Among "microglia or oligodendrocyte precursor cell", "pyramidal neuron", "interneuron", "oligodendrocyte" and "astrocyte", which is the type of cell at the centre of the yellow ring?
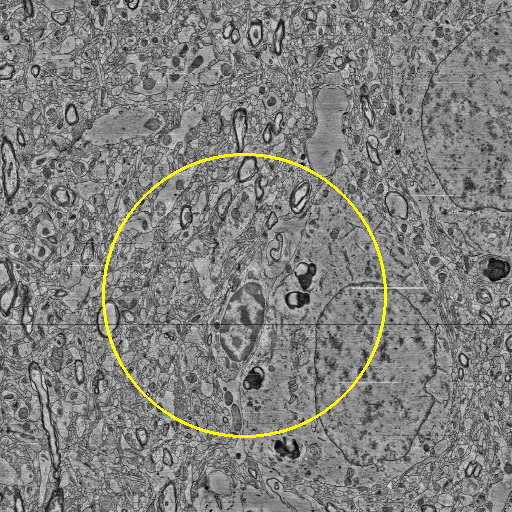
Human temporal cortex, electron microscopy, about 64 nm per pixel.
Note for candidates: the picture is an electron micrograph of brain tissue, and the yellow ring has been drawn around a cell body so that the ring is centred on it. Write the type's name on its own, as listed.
microglia or oligodendrocyte precursor cell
